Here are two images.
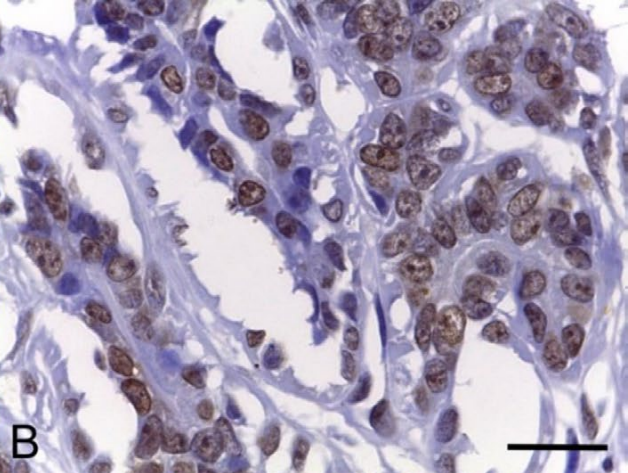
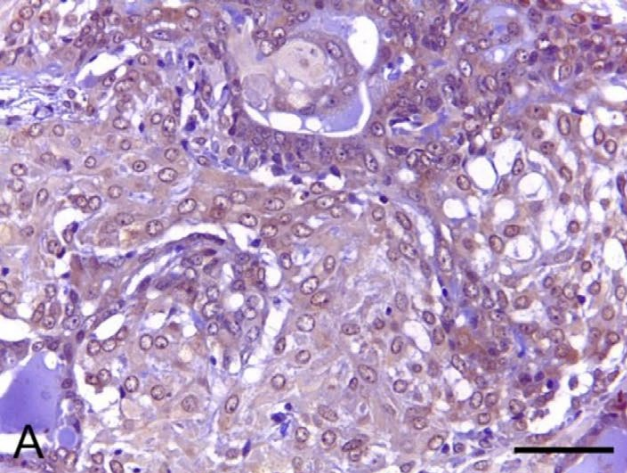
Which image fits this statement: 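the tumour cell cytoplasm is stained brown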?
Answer: The second image.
